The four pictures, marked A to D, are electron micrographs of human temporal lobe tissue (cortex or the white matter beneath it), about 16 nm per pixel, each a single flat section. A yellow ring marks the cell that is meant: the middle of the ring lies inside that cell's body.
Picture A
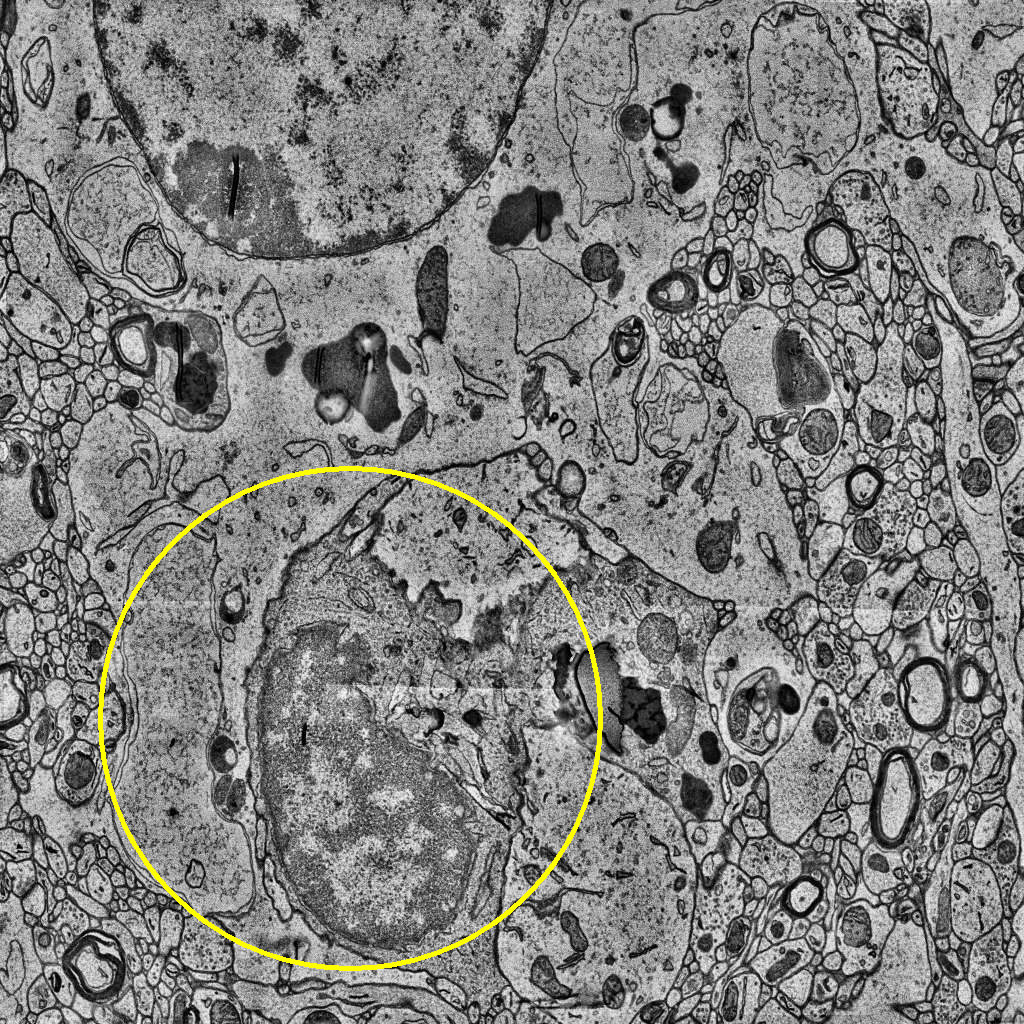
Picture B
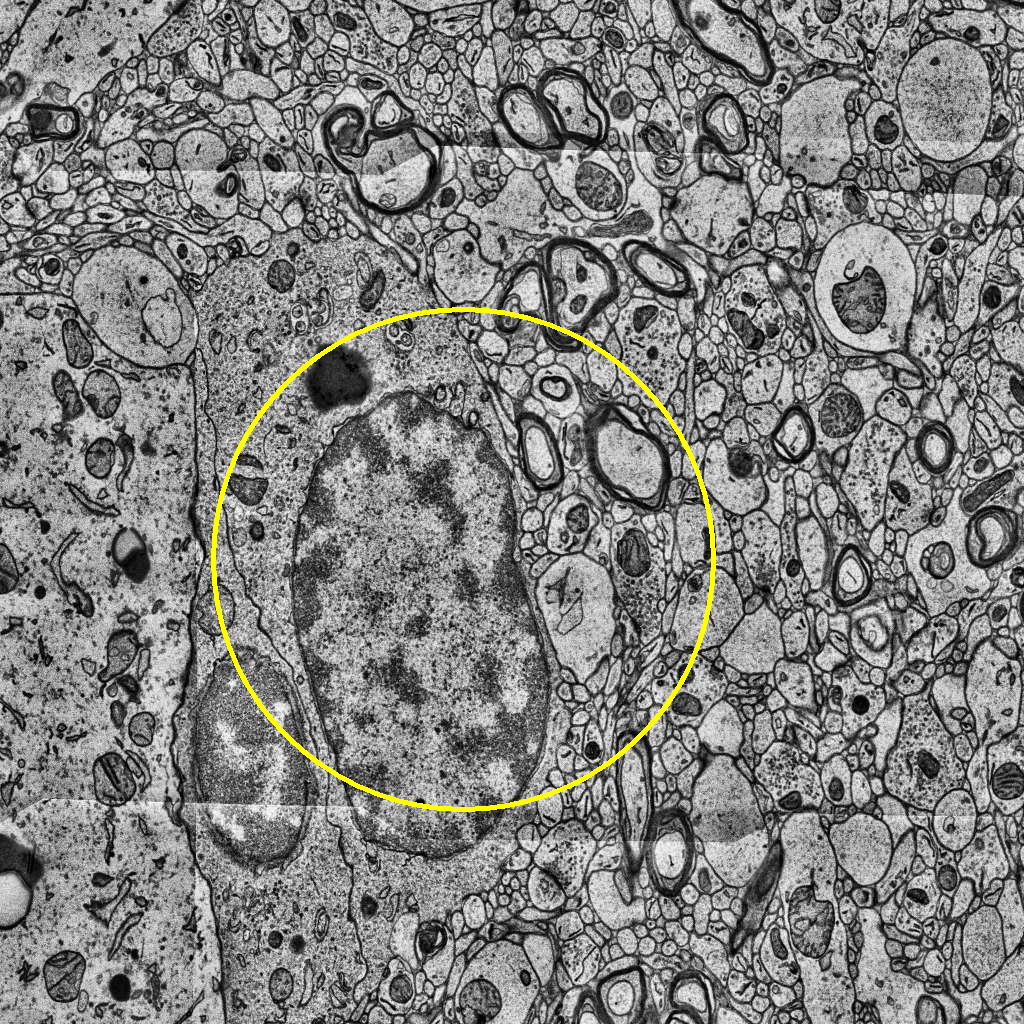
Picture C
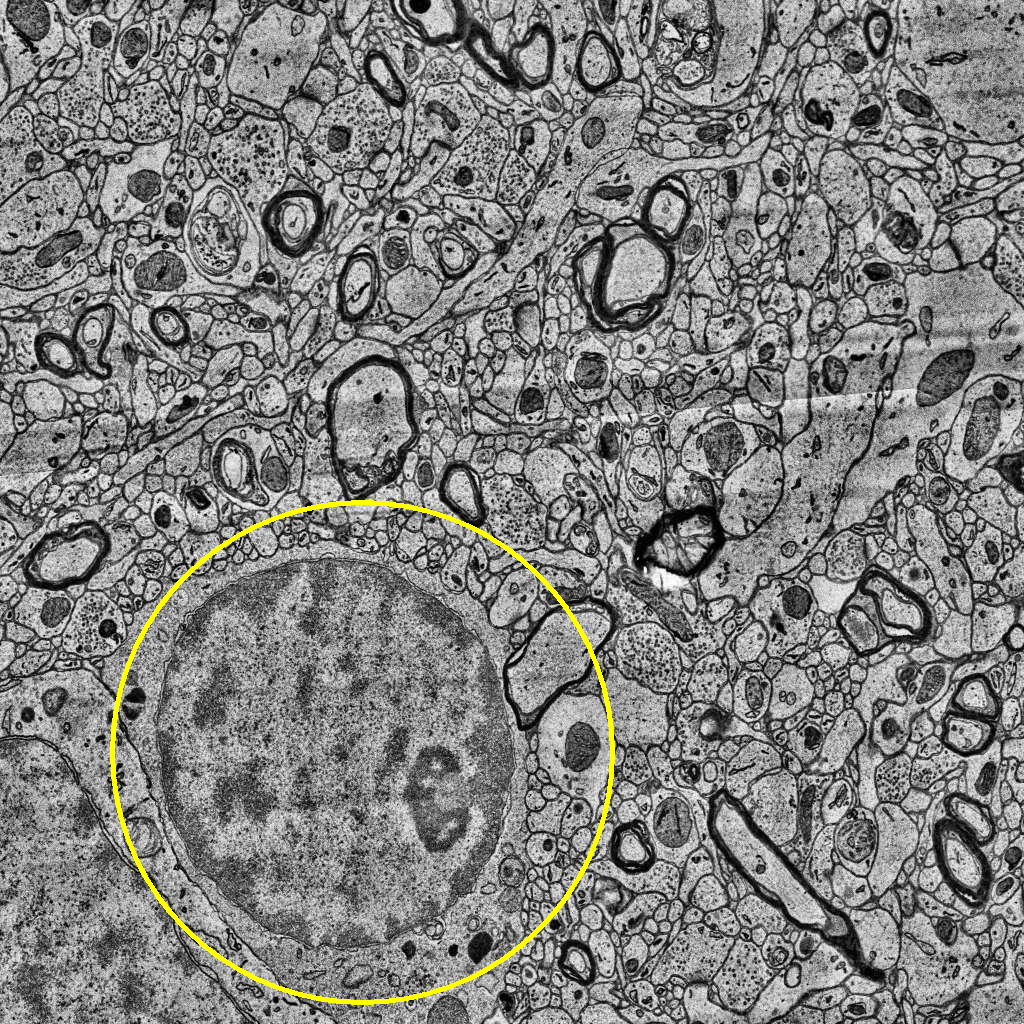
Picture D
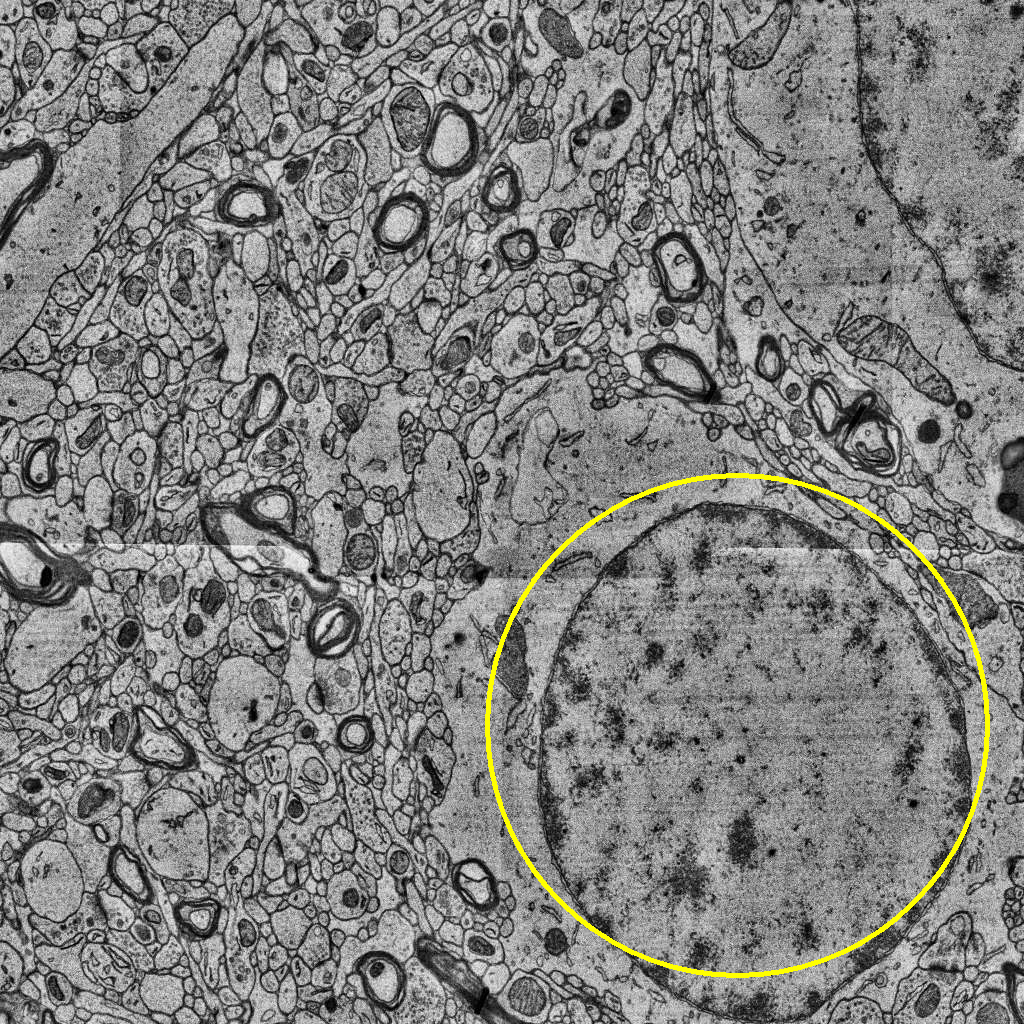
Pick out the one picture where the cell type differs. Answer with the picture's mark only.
D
